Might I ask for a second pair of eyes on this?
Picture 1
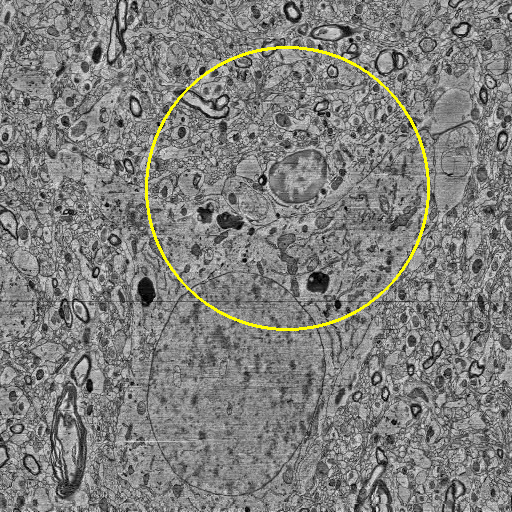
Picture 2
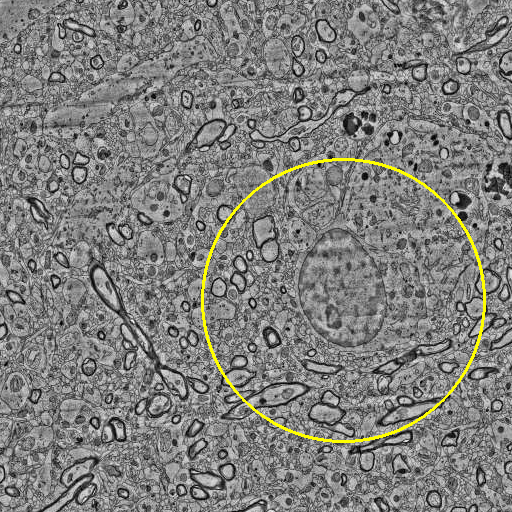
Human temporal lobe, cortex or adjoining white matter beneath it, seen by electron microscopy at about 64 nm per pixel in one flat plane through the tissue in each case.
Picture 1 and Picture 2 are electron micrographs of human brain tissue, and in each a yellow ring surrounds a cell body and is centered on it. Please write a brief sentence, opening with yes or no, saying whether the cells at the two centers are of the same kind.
No, the cells are of two kinds.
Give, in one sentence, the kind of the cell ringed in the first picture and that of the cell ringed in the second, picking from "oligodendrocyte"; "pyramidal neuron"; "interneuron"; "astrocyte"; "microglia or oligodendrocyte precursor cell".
For the first picture it is a microglial cell or oligodendrocyte precursor cell; for the second, an oligodendrocyte.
